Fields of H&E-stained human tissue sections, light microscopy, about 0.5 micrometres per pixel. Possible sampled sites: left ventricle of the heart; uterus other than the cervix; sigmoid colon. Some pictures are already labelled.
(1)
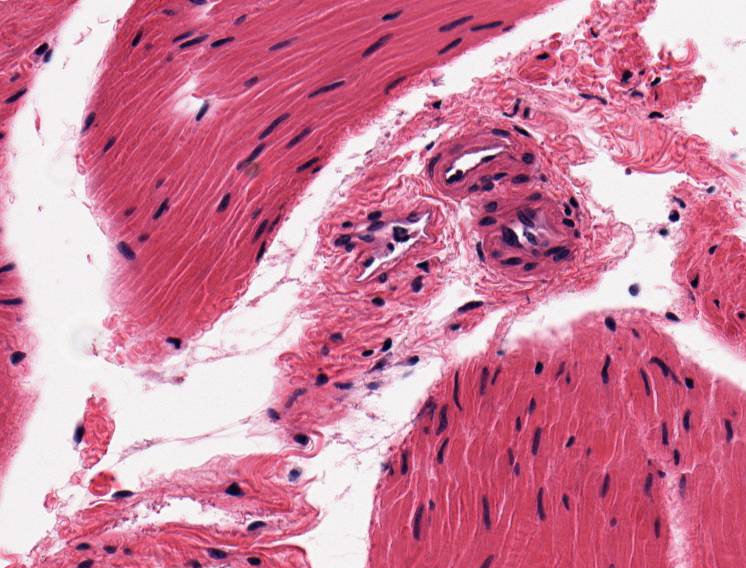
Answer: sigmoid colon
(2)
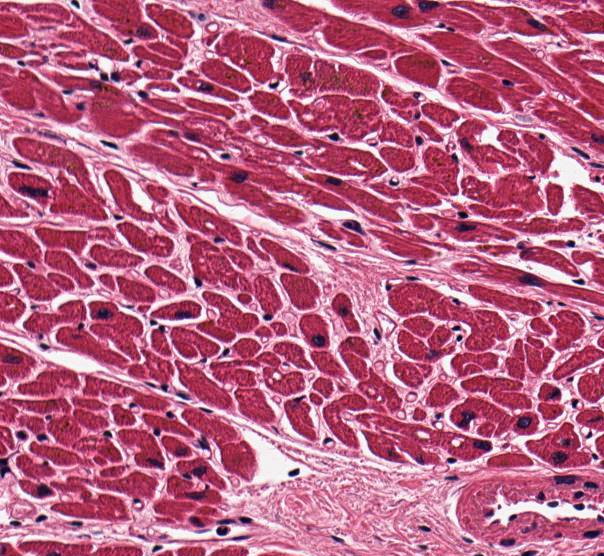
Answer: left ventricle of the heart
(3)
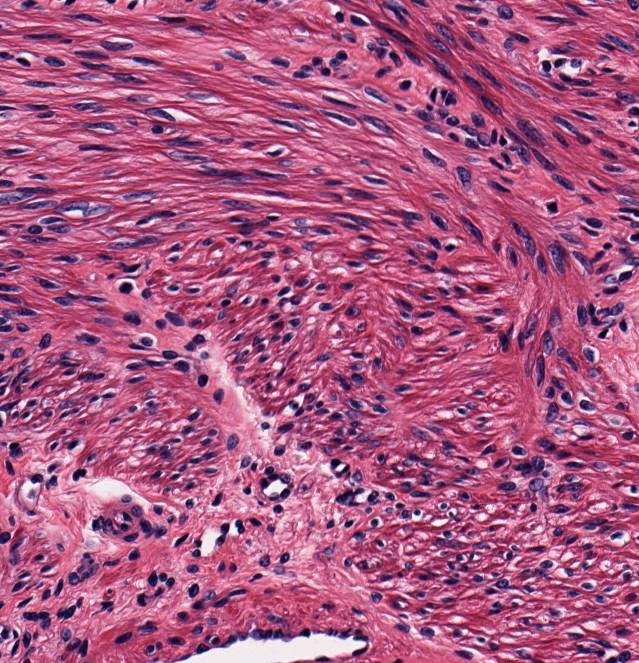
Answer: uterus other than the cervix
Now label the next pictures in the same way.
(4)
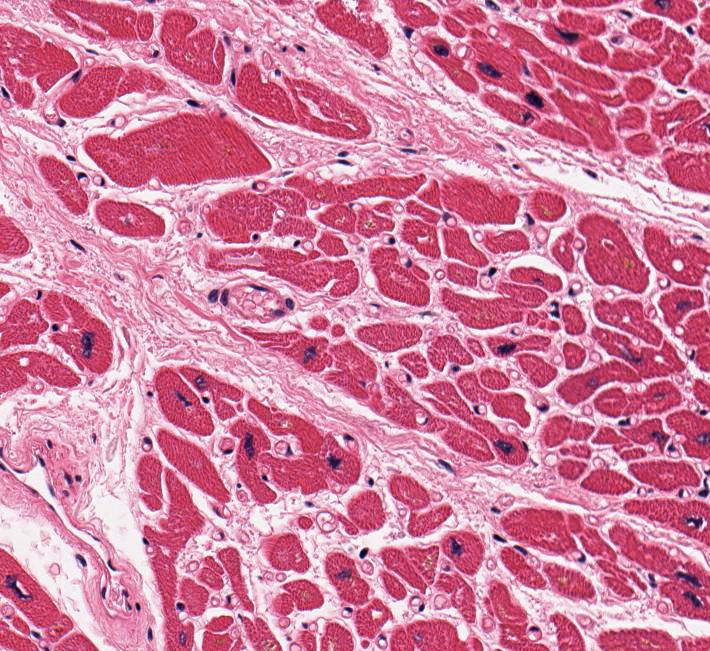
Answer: left ventricle of the heart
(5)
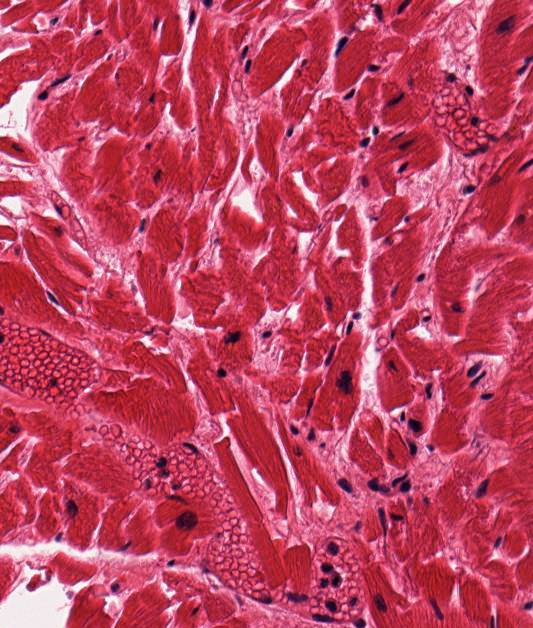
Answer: left ventricle of the heart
